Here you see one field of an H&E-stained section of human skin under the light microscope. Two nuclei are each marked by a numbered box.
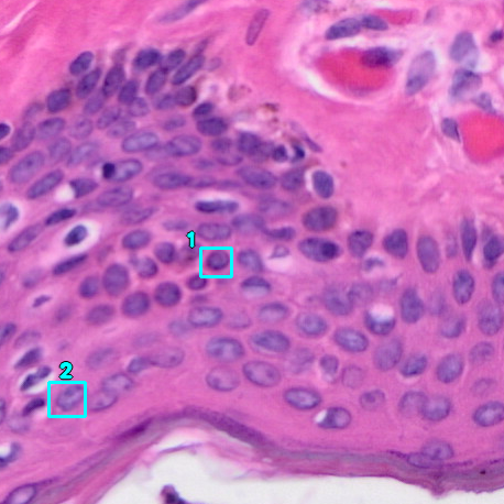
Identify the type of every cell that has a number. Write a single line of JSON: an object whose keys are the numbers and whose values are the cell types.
{"1": "basal keratinocyte", "2": "suprabasal keratinocyte"}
